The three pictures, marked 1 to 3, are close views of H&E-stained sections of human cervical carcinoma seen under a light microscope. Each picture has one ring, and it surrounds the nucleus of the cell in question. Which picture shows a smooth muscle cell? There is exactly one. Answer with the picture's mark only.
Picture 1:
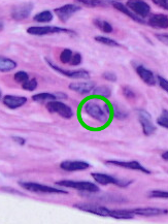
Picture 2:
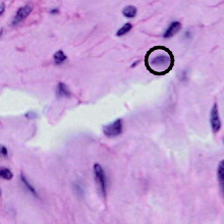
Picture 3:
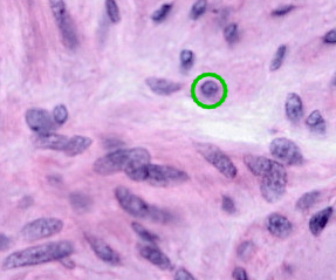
3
